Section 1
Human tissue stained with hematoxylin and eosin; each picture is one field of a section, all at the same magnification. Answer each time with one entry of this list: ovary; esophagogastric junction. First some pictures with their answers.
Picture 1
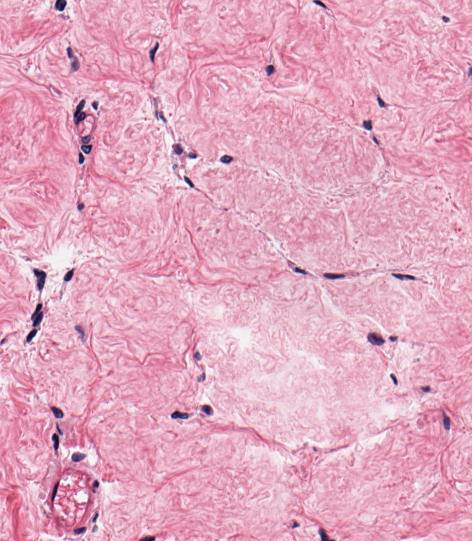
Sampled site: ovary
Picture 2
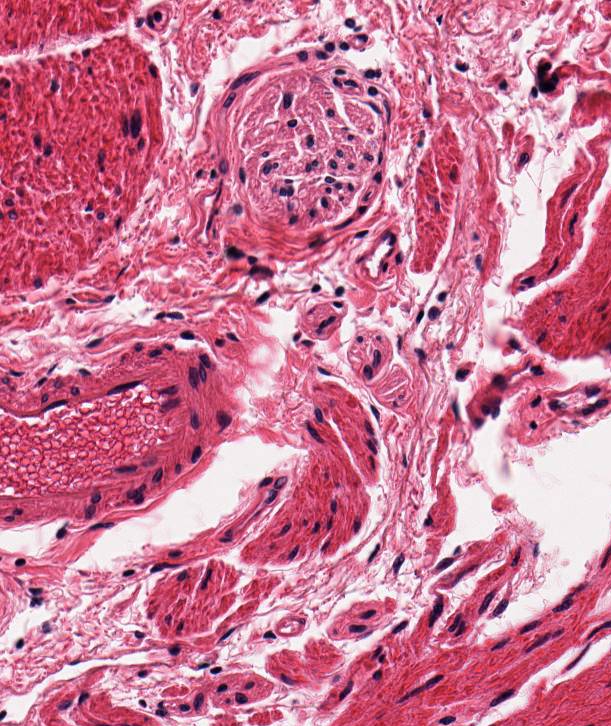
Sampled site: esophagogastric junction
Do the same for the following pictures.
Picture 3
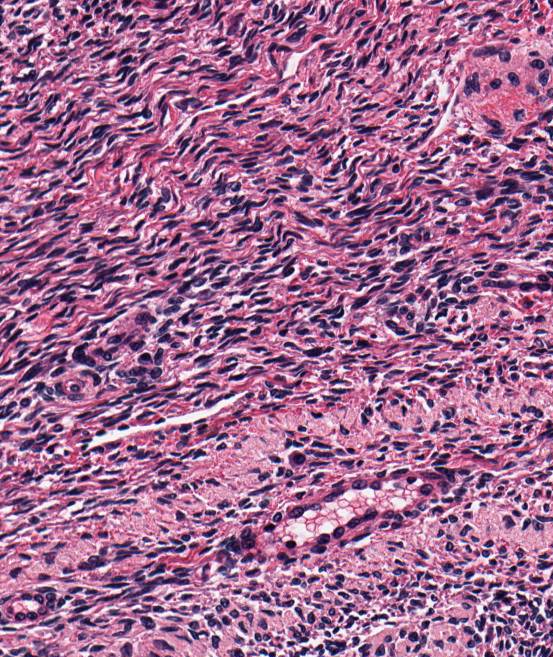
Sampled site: ovary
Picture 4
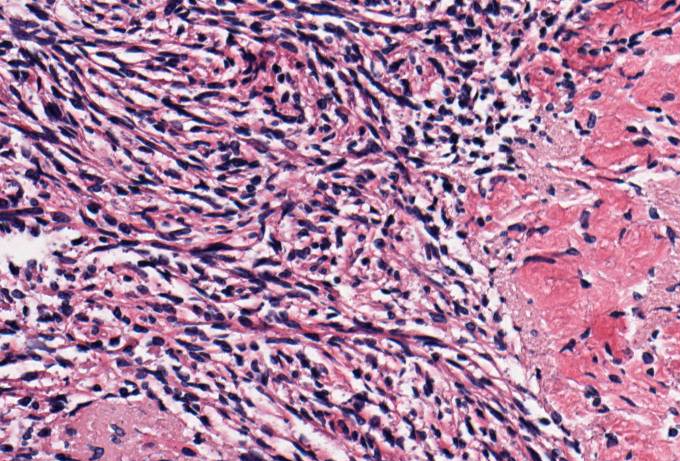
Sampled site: ovary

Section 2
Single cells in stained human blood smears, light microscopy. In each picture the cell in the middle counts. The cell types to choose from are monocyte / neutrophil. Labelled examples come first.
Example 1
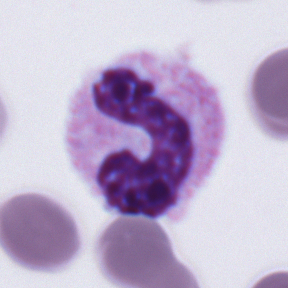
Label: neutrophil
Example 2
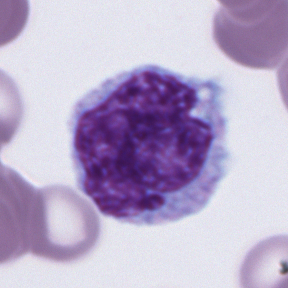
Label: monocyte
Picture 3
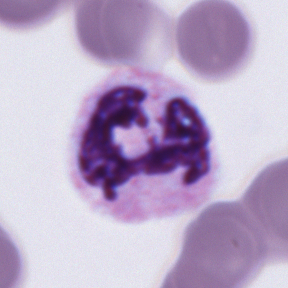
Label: neutrophil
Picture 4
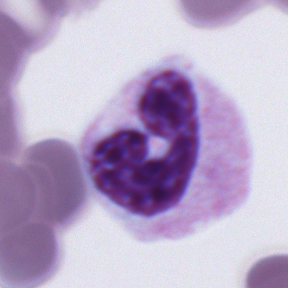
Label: neutrophil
